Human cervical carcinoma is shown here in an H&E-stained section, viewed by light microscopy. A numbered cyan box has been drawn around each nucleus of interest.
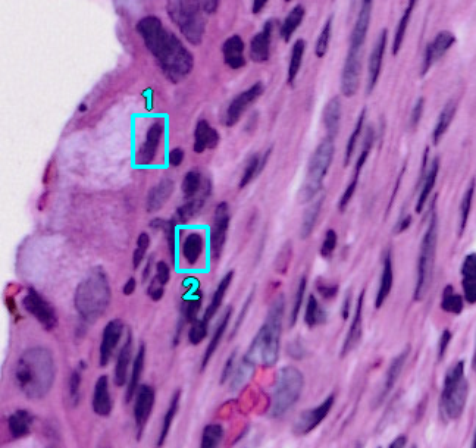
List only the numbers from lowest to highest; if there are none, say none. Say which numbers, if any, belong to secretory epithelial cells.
1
